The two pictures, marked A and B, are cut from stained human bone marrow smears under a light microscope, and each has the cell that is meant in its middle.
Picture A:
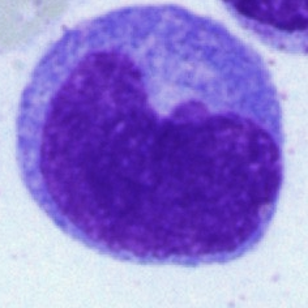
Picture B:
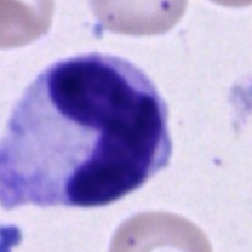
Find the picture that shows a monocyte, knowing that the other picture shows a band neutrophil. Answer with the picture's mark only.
A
